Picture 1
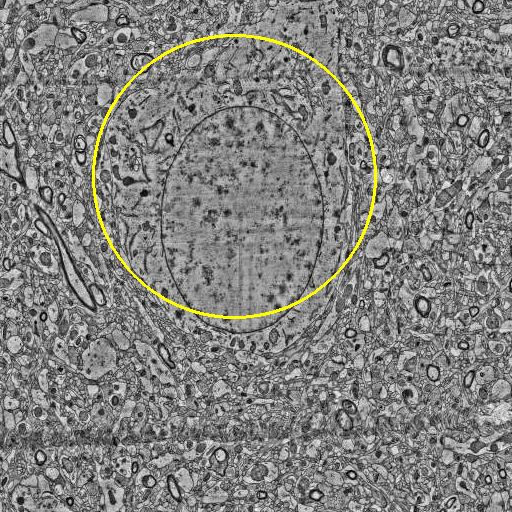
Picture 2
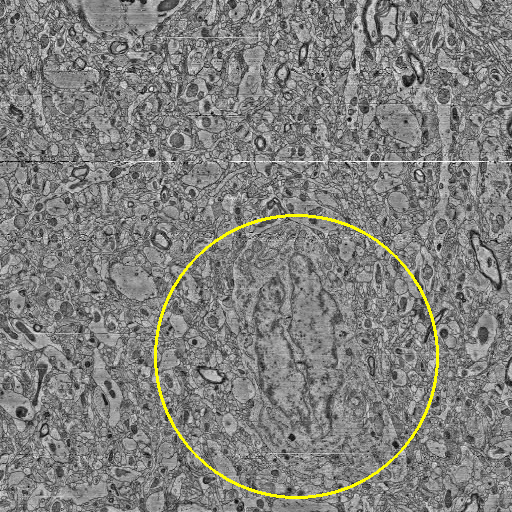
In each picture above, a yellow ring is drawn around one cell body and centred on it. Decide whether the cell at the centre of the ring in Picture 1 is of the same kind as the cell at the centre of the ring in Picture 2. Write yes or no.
no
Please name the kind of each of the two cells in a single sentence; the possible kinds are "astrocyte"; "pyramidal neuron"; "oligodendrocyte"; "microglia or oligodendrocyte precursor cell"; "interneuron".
In the first picture the ring is centred on a pyramidal neuron, and in the second on an interneuron.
